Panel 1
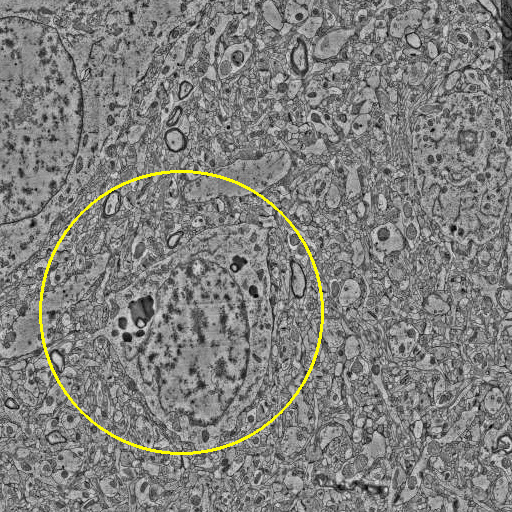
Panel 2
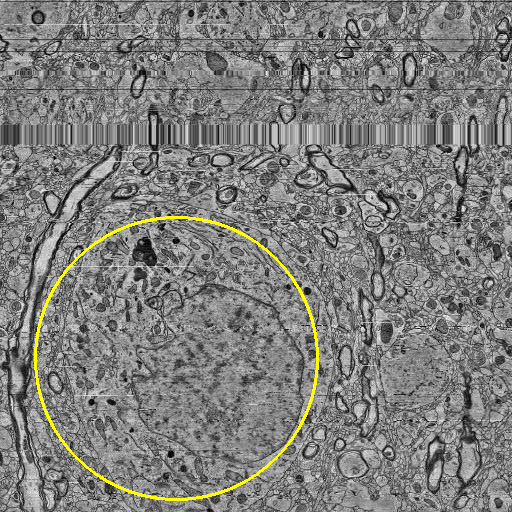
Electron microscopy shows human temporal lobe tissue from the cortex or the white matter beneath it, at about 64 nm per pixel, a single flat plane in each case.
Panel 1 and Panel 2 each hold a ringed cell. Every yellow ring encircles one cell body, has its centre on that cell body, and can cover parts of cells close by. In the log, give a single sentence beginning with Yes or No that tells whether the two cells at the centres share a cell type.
Yes, in Panel 1 and Panel 2 the centred cells share a cell type.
